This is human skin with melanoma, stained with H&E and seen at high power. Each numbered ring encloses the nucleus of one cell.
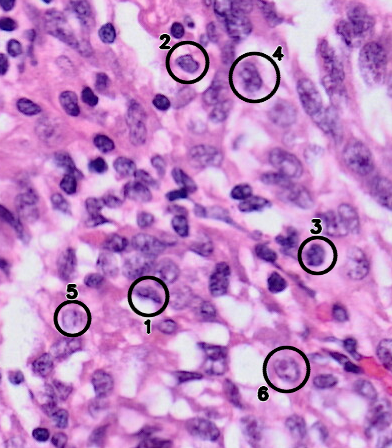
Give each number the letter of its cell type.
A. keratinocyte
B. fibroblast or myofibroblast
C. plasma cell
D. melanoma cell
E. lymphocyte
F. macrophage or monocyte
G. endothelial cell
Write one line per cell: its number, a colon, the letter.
1: D
2: E
3: E
4: D
5: D
6: D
